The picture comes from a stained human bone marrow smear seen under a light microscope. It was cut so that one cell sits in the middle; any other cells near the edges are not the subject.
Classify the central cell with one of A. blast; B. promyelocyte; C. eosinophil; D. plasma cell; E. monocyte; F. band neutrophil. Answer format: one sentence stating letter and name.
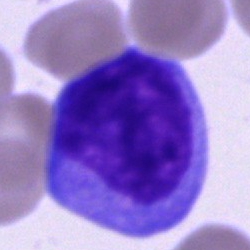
That cell in the center is a blast, hence option A.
